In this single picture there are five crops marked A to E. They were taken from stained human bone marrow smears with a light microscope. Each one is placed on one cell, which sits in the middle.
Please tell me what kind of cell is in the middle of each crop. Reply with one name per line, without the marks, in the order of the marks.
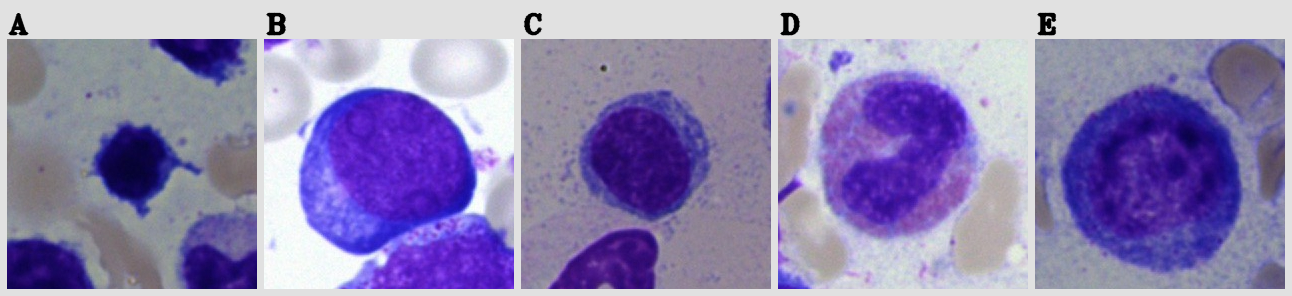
lymphocyte
proerythroblast
lymphocyte
eosinophil
promyelocyte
